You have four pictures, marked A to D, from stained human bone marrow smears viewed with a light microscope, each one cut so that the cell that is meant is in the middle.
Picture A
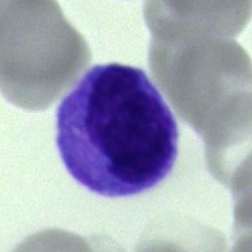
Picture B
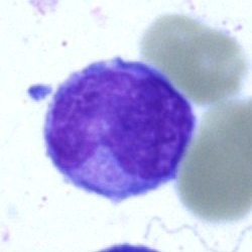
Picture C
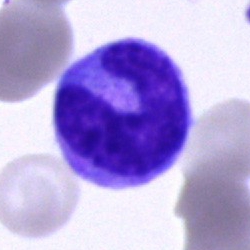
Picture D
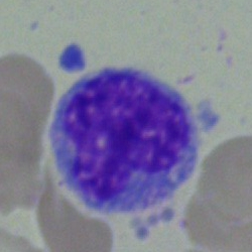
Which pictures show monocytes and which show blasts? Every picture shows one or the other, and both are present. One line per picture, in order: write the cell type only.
monocyte
blast
monocyte
monocyte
